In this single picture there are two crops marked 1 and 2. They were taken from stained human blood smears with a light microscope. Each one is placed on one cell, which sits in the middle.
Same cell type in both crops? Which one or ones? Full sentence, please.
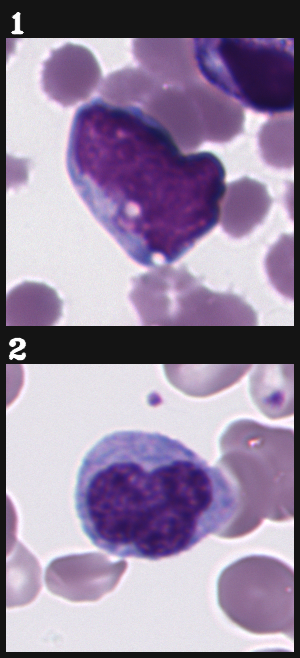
No, a blast is what occupies crop 1, and a monocyte is what occupies crop 2.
